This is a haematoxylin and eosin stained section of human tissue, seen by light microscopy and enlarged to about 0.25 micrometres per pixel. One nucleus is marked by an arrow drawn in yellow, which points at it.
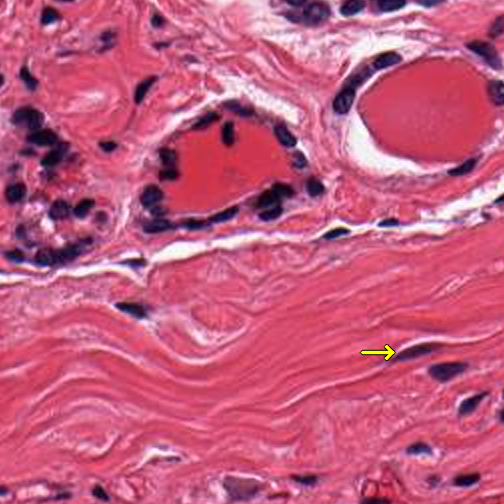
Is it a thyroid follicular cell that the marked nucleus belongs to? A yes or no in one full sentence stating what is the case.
No, it is to a supporting cell that the marked nucleus belongs, not to a thyroid follicular cell.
